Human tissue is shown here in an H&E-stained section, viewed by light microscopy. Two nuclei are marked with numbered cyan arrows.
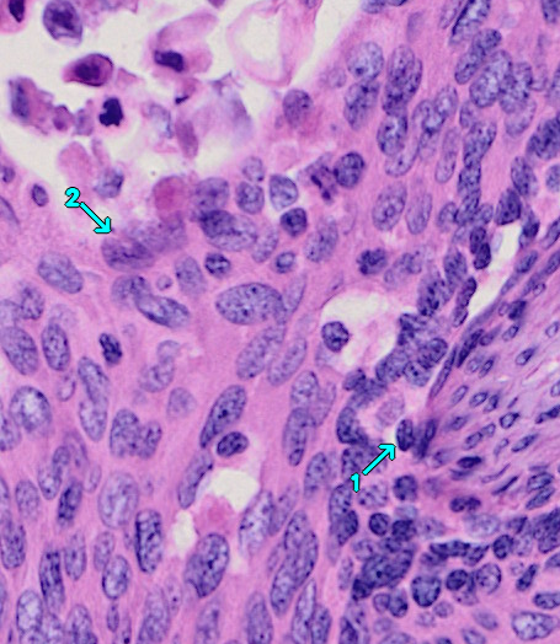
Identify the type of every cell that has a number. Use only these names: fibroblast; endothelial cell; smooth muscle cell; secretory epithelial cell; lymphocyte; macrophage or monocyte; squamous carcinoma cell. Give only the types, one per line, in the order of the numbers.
lymphocyte
squamous carcinoma cell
